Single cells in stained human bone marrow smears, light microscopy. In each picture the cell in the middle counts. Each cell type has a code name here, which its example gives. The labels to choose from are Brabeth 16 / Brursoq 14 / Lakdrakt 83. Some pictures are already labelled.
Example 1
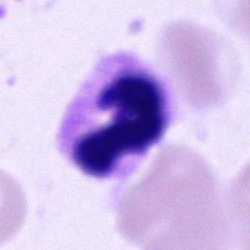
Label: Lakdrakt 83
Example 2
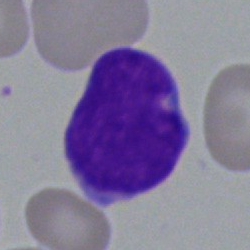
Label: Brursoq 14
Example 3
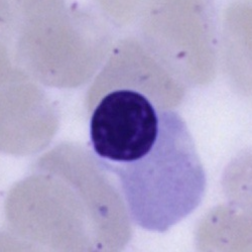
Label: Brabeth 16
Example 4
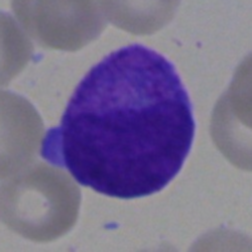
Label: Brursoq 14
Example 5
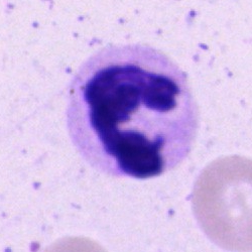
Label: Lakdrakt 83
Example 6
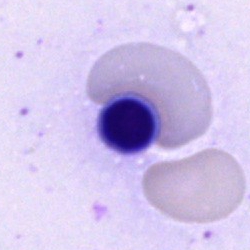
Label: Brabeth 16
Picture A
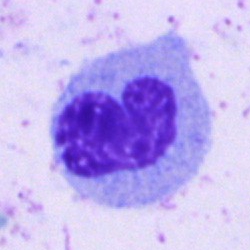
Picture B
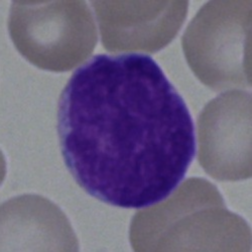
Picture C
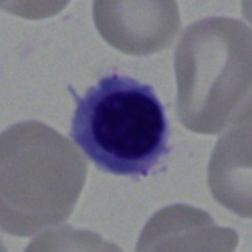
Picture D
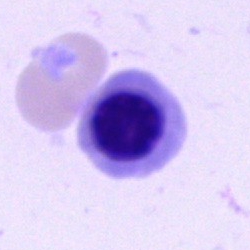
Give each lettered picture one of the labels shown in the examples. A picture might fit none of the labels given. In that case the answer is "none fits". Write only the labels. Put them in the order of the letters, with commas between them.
none fits, Brursoq 14, Brabeth 16, Brabeth 16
